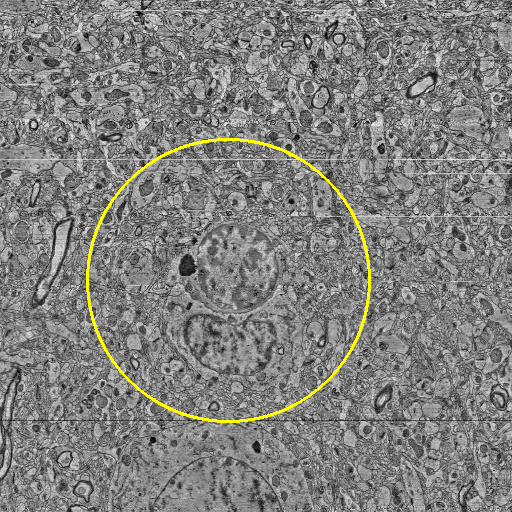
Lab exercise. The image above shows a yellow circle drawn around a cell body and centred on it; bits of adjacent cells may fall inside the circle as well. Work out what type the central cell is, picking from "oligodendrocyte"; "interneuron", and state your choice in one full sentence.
In the image above, the cell at the centre of the yellow circle is an oligodendrocyte.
